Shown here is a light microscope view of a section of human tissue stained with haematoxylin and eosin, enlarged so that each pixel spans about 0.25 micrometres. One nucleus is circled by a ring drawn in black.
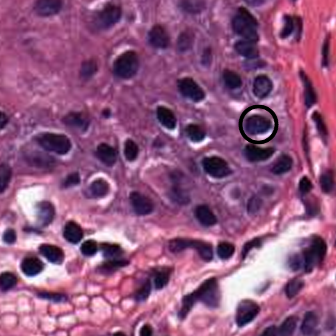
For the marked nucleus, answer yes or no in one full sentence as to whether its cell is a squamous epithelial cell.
Yes, the marked nucleus is found within a squamous epithelial cell.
